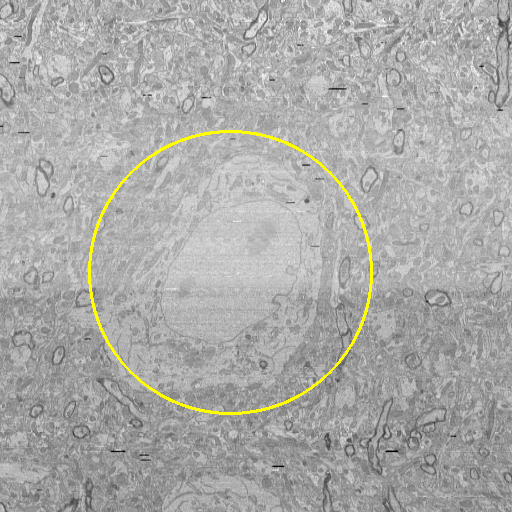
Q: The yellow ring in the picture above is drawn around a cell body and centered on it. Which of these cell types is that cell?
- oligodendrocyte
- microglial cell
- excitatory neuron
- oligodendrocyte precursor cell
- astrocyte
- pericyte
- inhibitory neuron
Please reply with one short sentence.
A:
The cell body at the ring's center belongs to an excitatory neuron.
